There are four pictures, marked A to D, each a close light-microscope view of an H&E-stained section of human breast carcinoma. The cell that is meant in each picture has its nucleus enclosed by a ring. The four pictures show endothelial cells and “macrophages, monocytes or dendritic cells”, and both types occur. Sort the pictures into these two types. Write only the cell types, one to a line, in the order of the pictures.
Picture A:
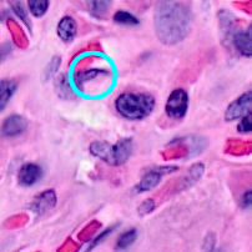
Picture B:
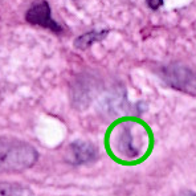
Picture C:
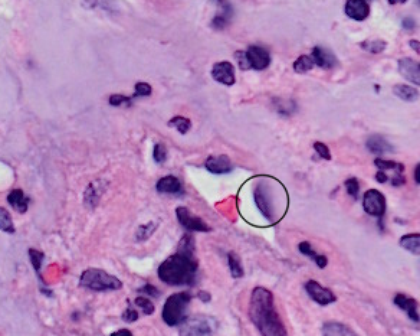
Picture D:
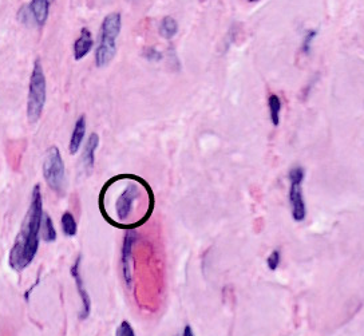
endothelial cell
macrophage, monocyte or dendritic cell
endothelial cell
endothelial cell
